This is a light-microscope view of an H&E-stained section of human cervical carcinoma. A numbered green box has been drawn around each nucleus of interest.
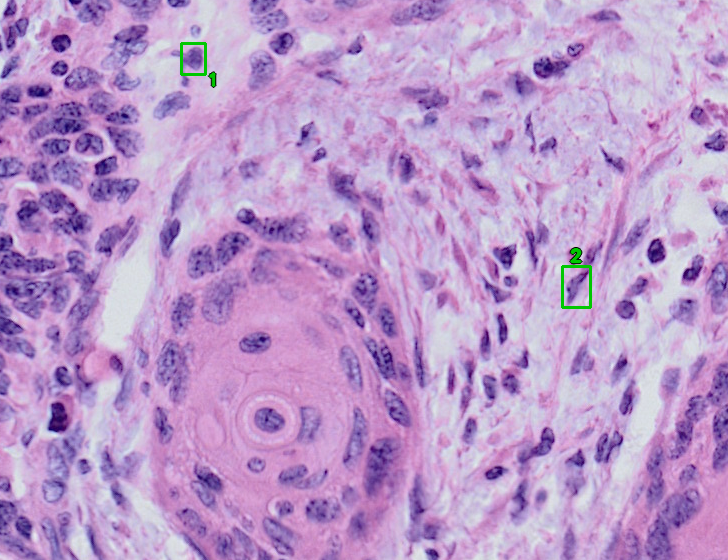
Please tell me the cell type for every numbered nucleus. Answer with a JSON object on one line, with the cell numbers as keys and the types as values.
{"1": "lymphocyte", "2": "fibroblast"}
